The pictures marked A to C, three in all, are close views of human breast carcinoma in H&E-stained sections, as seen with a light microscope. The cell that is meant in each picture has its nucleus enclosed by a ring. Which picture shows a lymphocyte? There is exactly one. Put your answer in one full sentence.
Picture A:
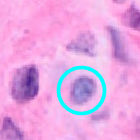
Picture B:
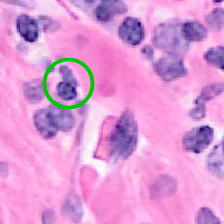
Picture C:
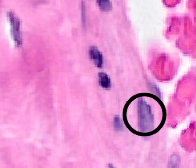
Picture B shows the lymphocyte.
